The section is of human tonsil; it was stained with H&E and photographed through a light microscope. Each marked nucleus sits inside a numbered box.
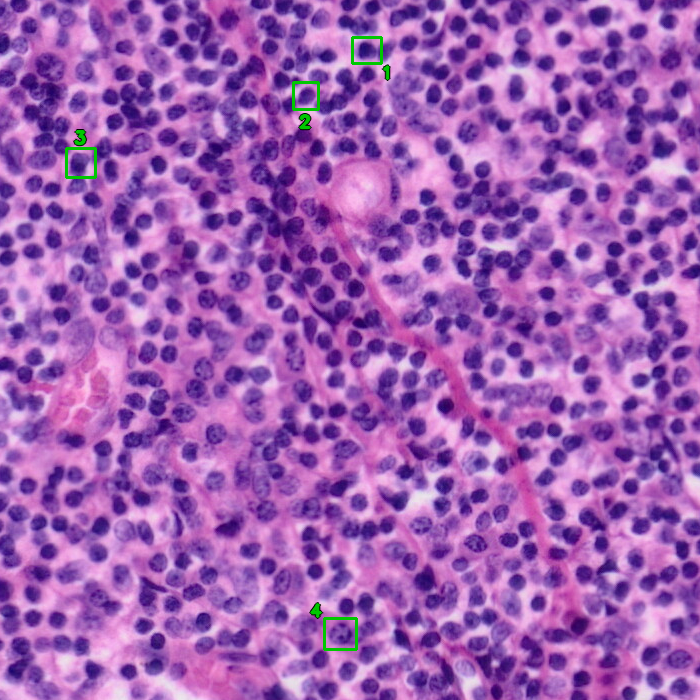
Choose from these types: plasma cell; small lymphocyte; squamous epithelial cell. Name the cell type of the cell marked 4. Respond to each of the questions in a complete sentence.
Among the marked cells, number 4 is a plasma cell.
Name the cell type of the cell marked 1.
As for number 1, that cell is a small lymphocyte.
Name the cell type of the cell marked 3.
In this section, number 3 marks a small lymphocyte.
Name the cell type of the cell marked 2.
Heads up, the cell numbered 2 is a small lymphocyte.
